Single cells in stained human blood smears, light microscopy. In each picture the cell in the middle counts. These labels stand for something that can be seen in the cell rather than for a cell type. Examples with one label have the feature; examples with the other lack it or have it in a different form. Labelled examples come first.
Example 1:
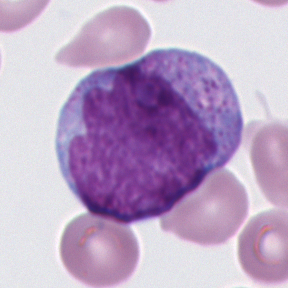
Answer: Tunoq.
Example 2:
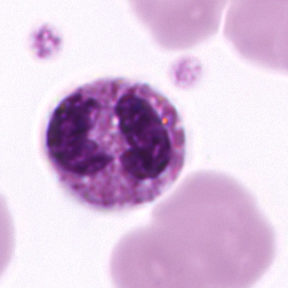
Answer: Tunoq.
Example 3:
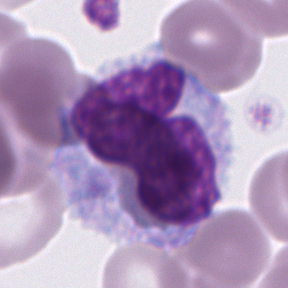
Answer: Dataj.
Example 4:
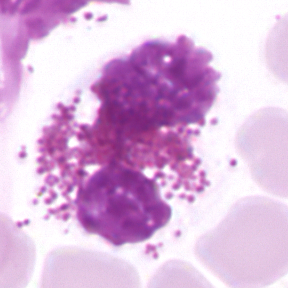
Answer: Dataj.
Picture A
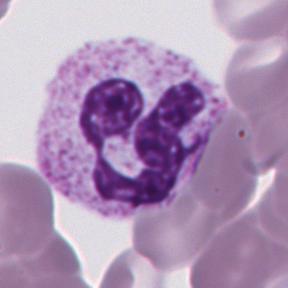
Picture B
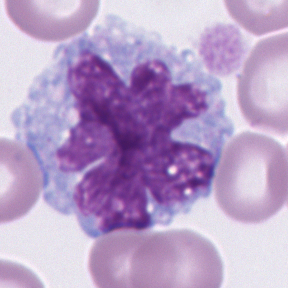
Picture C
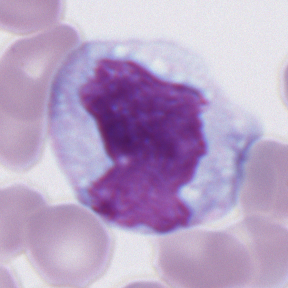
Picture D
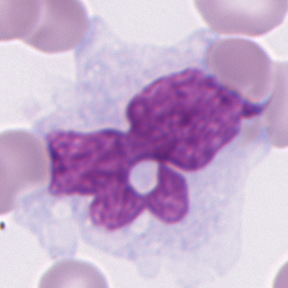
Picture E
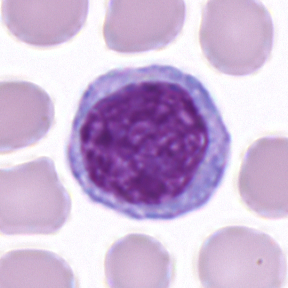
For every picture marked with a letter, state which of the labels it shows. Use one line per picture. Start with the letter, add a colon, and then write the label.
A: Tunoq.
B: Dataj.
C: Tunoq.
D: Dataj.
E: Tunoq.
